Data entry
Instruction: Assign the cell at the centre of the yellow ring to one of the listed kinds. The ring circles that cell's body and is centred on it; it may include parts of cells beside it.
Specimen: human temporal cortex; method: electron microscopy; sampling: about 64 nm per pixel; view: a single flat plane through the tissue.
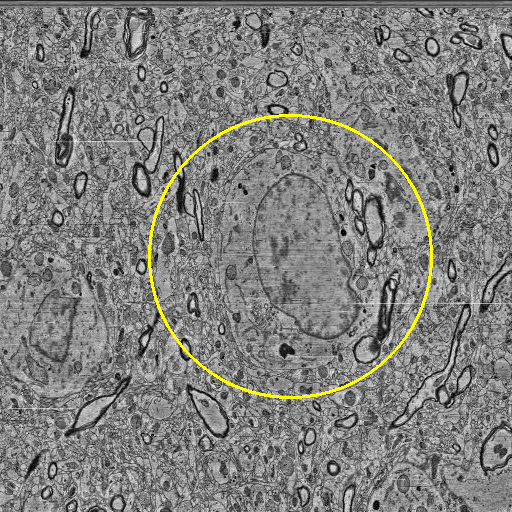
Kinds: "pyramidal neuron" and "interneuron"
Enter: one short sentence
The centre of the ring falls on a pyramidal neuron.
